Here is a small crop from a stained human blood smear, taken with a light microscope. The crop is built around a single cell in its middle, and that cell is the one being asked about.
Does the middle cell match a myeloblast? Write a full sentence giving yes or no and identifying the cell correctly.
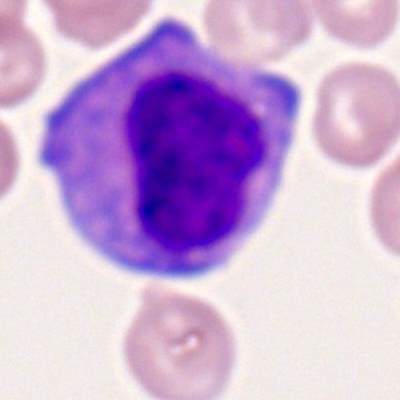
Yes, as regards the cell in the middle, it is a myeloblast.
